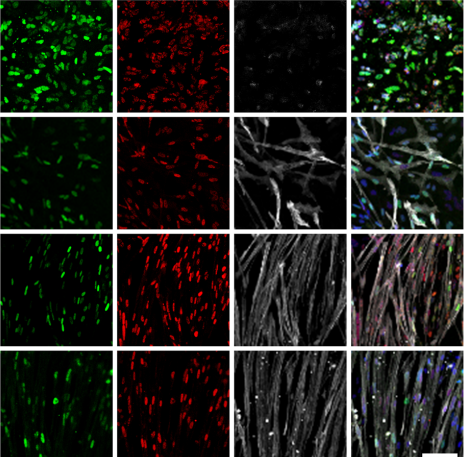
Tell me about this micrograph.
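In the top row the green and red nuclear stains fill many densely packed, small oval nuclei, while the white channel is nearly empty. Further down, the white channel shows elongated, thread-like cells that become long myotubes lying side by side in a parallel array. In the merged images, blue-stained nuclei that carry neither green nor red lie between the tubes.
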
